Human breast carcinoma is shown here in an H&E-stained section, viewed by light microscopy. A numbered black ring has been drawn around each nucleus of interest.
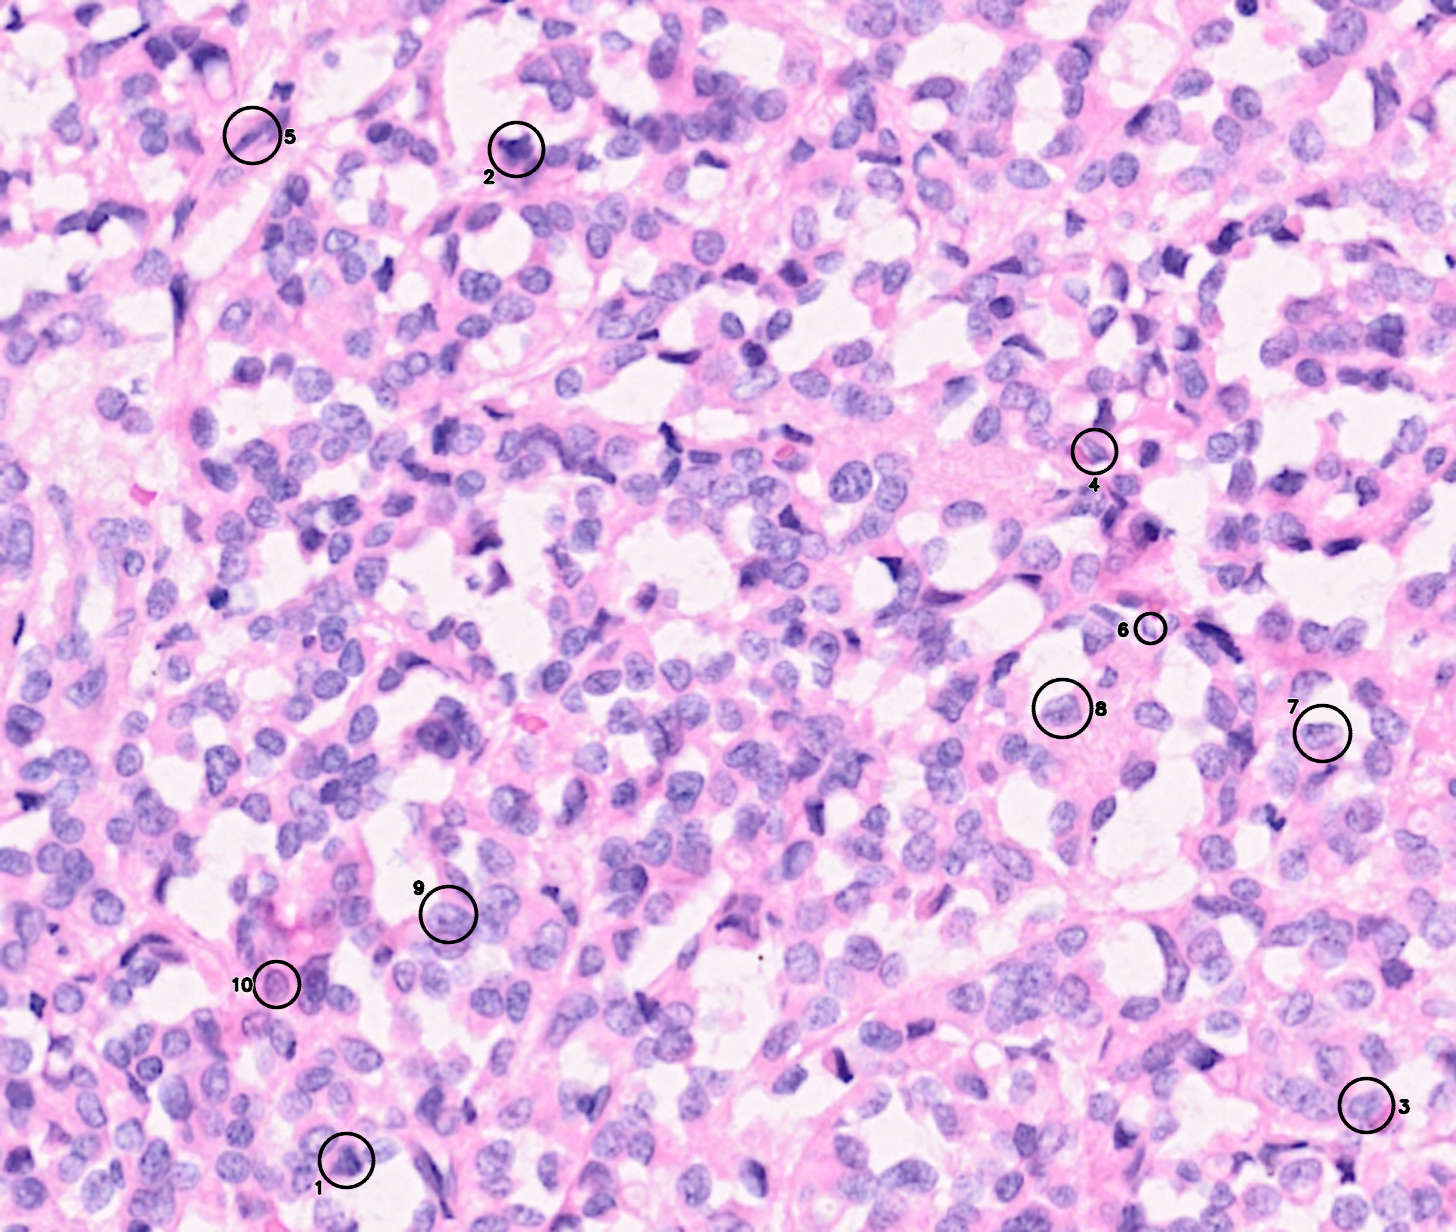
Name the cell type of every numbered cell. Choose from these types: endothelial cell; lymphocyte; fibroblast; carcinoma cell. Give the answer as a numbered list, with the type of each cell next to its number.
1. carcinoma cell
2. carcinoma cell
3. endothelial cell
4. endothelial cell
5. endothelial cell
6. endothelial cell
7. carcinoma cell
8. carcinoma cell
9. carcinoma cell
10. carcinoma cell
